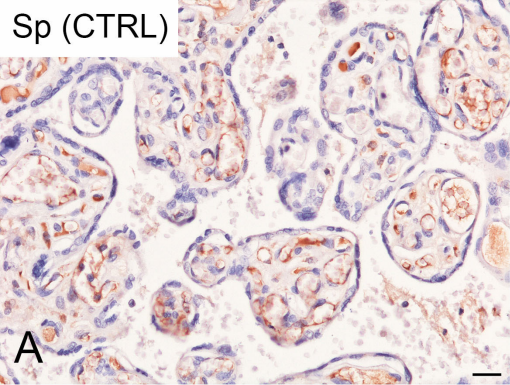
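This is placental tissue cut across many small rounded villi, each covered by a thin continuous rim of flattened cells with small dark blue nuclei. The villous cores are loose and pale, holding several small capillaries packed with red blood cells. Between the villi lies an open space scattered with free red blood cells. The red reaction product is weak and patchy, seen mainly around the capillaries and their contents inside the cores, while the covering layer and the stroma stay largely blue and unstained.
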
